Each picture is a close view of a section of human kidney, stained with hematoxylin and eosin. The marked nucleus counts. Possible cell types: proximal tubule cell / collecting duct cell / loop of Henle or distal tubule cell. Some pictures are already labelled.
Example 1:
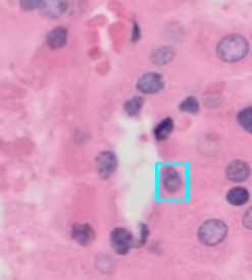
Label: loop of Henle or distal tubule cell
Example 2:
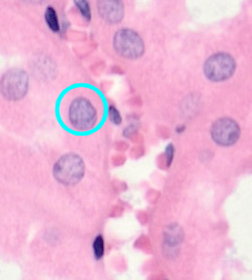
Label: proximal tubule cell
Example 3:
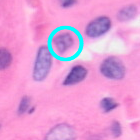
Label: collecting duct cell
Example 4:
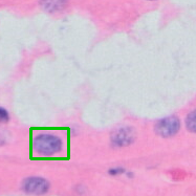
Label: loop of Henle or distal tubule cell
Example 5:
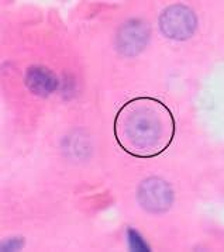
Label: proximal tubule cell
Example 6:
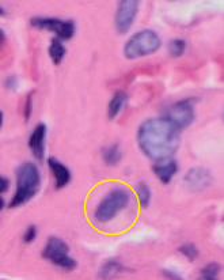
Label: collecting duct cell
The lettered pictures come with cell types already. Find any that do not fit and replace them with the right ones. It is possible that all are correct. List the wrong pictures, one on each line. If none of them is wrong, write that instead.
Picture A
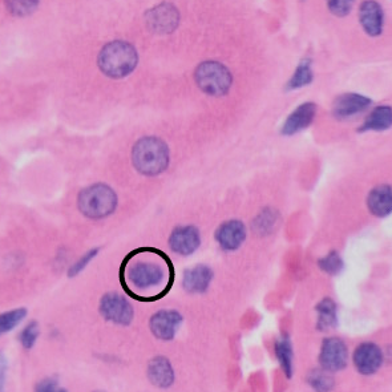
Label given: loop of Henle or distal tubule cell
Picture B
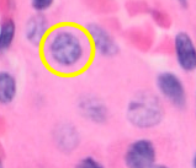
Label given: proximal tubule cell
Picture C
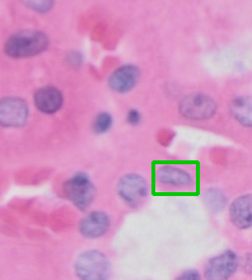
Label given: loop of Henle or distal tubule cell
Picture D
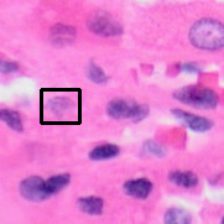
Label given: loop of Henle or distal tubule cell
B should be loop of Henle or distal tubule cell, not proximal tubule cell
